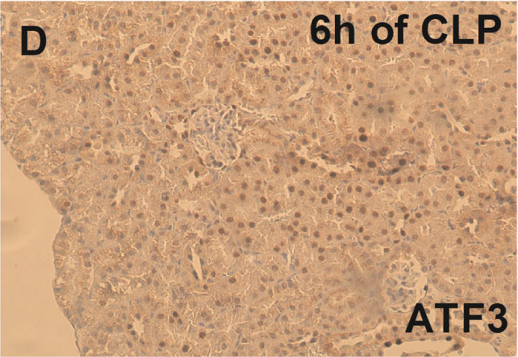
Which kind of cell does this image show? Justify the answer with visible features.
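Cuboidal epithelial cells form packed tubule cross-sections. A rounded glomerular tuft lies among the tubules, marking the cortex. The answer: cortical renal tubules cells.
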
